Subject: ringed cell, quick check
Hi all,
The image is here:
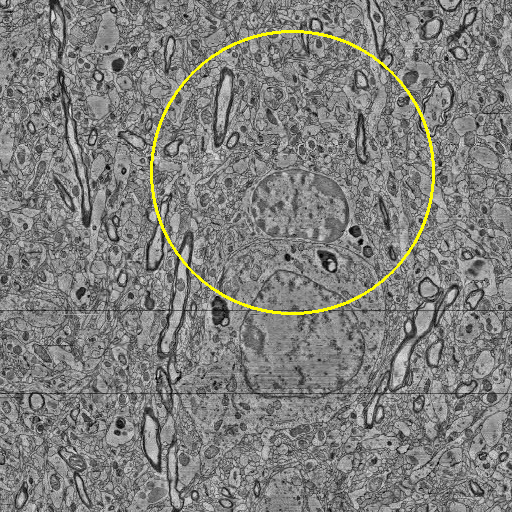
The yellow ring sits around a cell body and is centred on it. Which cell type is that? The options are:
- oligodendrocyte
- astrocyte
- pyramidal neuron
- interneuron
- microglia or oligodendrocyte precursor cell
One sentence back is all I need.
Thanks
That ringed cell is a microglial cell or oligodendrocyte precursor cell.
